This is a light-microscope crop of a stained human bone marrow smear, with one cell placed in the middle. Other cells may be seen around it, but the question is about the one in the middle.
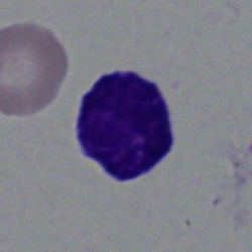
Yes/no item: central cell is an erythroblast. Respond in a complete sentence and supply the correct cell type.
No, the cell under consideration is a blast instead of an erythroblast.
